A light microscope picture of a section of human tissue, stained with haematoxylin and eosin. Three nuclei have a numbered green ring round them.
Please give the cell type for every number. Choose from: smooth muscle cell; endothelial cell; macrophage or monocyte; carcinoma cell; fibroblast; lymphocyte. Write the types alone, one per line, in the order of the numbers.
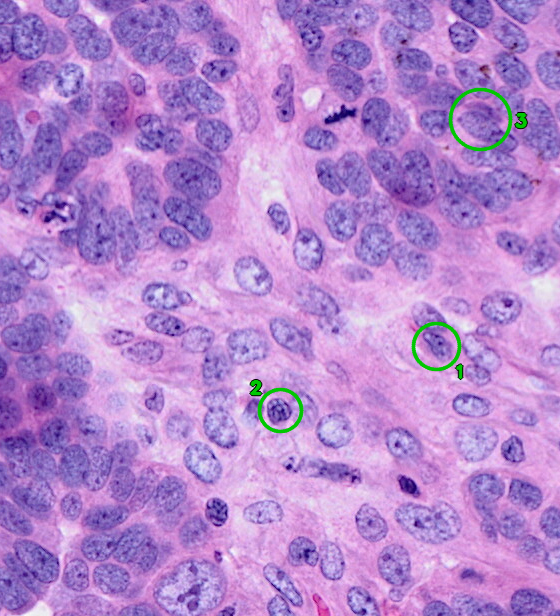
endothelial cell
lymphocyte
carcinoma cell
